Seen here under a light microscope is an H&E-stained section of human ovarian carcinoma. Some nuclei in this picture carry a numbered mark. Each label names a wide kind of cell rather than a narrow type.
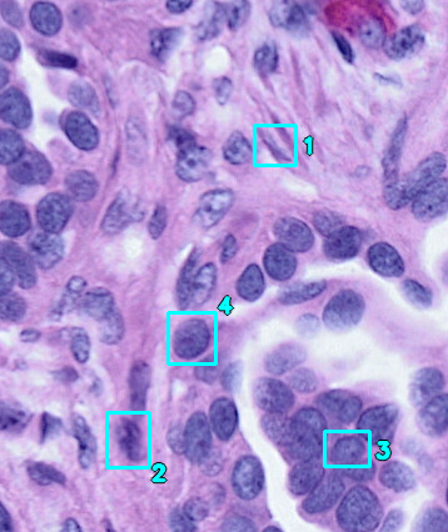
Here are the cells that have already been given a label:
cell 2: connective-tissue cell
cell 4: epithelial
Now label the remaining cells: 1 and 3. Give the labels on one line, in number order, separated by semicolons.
connective-tissue cell; epithelial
